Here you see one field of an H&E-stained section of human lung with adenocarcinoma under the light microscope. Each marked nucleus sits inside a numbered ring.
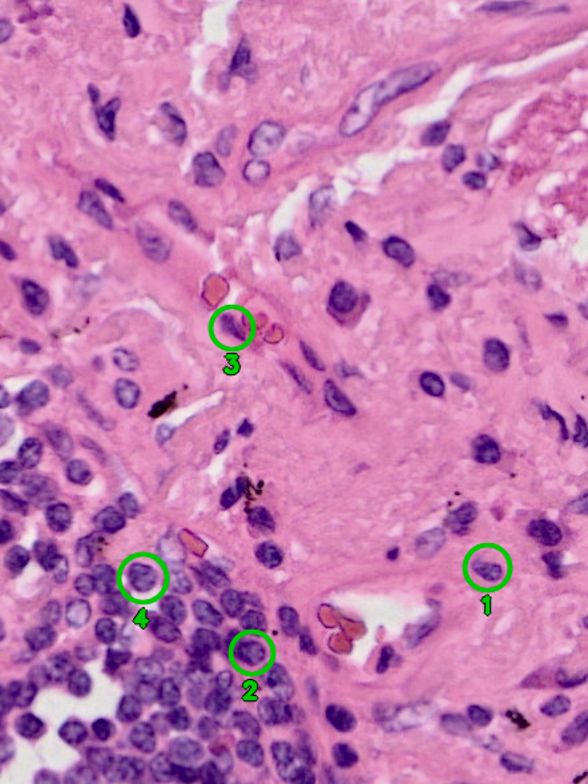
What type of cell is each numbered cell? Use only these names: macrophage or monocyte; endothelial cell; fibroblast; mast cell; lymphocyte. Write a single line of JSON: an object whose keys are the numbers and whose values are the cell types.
{"1": "mast cell", "2": "lymphocyte", "3": "endothelial cell", "4": "lymphocyte"}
